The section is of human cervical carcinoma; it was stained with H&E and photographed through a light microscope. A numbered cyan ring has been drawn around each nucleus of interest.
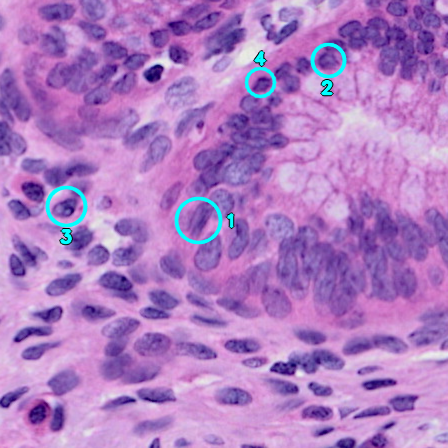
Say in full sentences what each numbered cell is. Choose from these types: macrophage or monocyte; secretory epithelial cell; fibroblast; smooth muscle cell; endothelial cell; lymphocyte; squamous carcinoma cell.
Cells 1, 2 and 4 are secretory epithelial cells. Cell 3 is an endothelial cell.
